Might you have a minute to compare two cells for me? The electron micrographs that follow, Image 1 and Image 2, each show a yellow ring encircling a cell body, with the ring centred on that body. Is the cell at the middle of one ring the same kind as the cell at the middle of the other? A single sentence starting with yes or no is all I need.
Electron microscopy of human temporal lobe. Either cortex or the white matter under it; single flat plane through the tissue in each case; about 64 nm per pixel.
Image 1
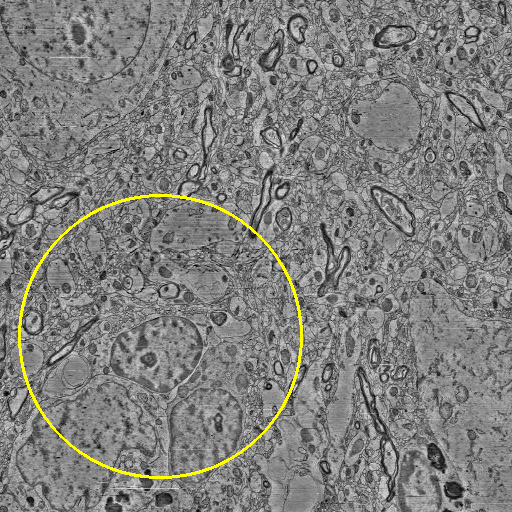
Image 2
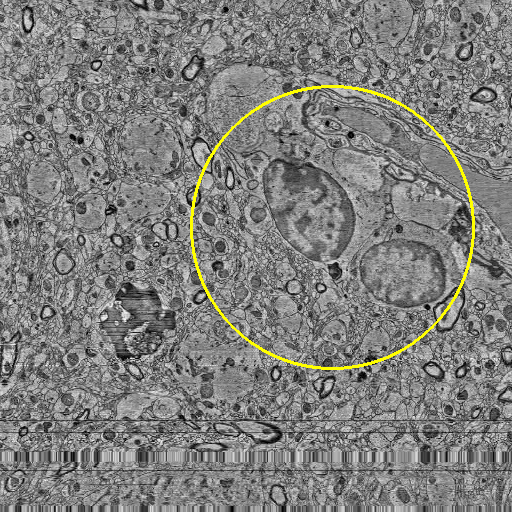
Yes, the cells in the middle of the two rings are of one shared kind.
